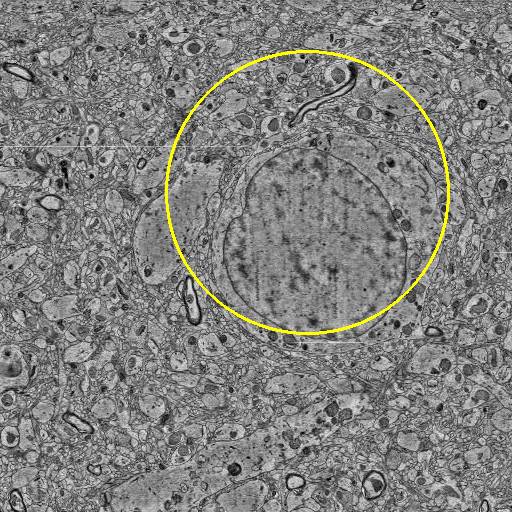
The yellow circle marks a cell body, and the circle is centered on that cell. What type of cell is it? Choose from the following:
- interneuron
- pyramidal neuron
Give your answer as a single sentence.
This cell body belongs to a pyramidal neuron.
